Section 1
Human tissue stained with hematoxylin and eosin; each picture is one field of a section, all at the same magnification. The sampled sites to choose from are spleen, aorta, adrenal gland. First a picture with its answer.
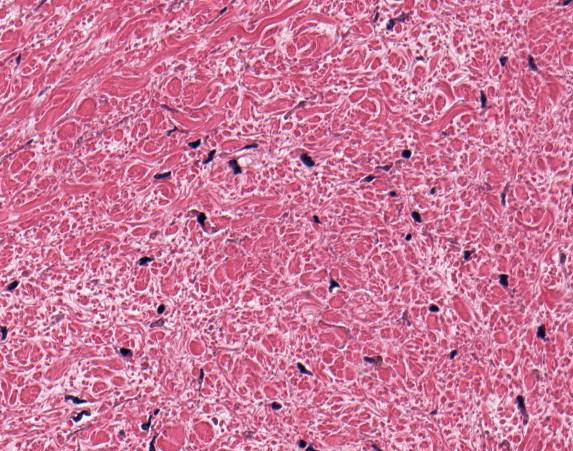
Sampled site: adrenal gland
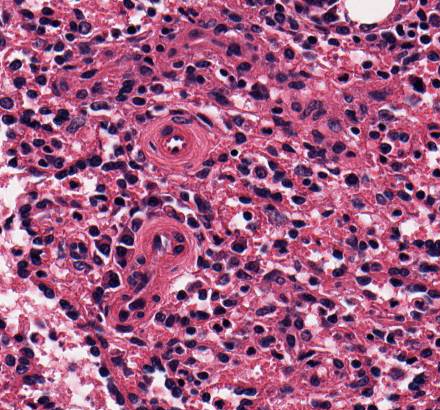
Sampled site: spleen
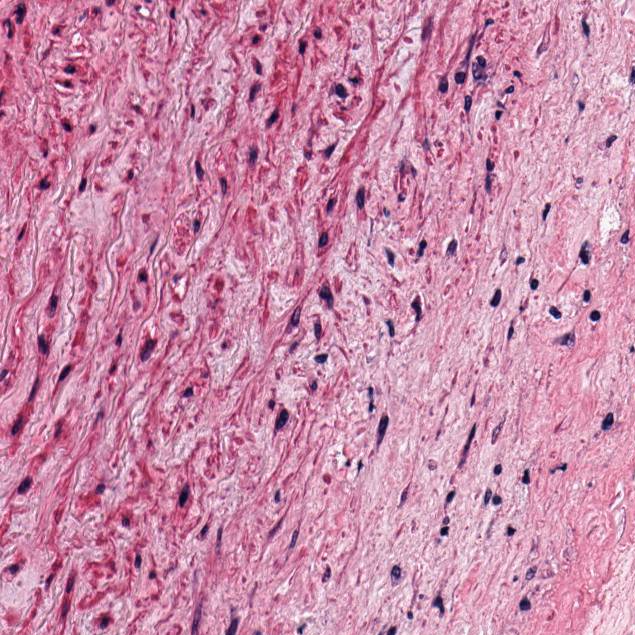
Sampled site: aorta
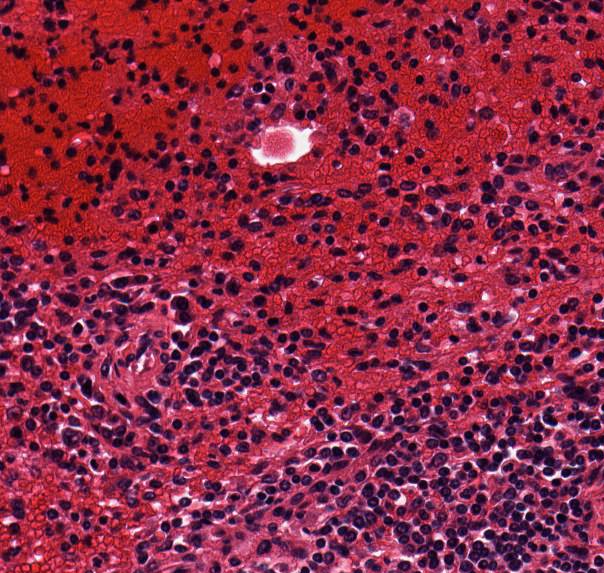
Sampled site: spleen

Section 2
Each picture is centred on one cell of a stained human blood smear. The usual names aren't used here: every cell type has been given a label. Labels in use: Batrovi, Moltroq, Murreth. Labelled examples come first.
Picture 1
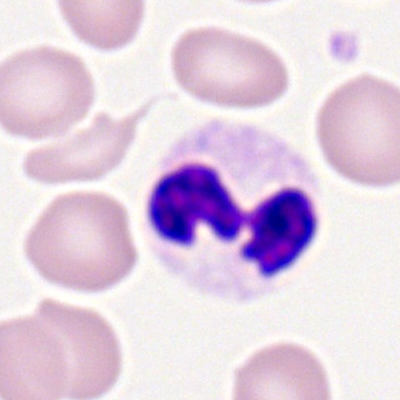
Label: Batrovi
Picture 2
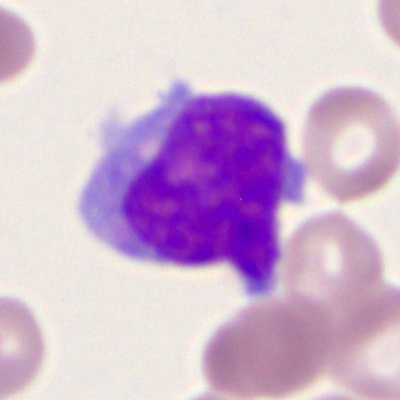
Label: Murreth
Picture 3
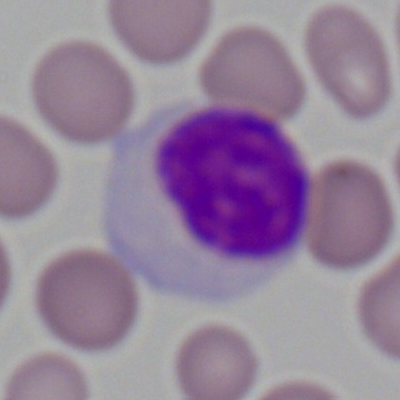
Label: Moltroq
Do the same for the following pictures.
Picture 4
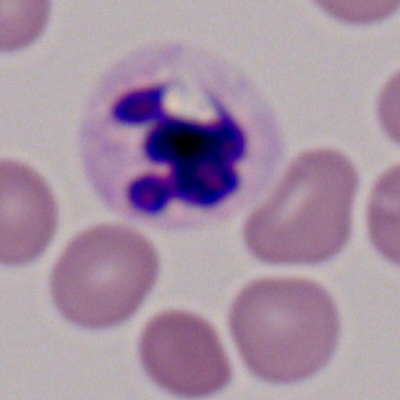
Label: Batrovi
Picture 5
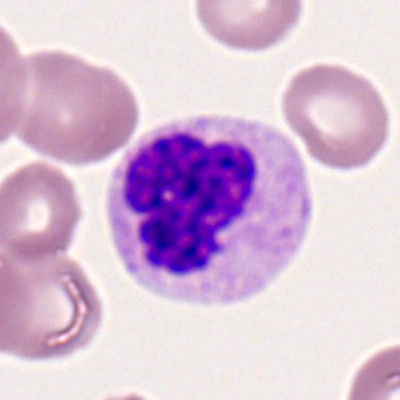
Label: Batrovi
